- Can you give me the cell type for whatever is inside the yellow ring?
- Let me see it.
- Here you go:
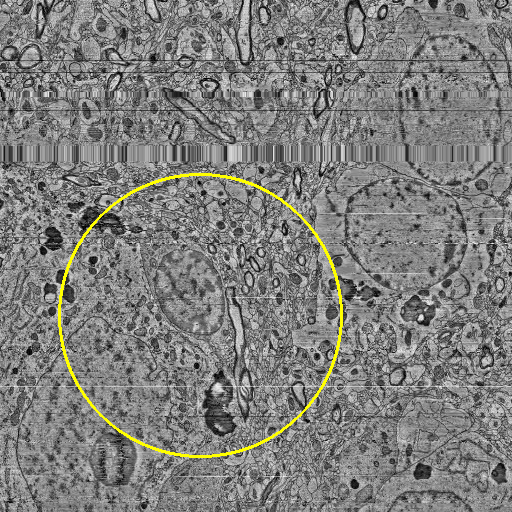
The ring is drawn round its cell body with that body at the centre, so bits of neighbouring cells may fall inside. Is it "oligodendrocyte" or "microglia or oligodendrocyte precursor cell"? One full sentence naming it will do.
The cell body in the middle of the ring in this picture belongs to an oligodendrocyte.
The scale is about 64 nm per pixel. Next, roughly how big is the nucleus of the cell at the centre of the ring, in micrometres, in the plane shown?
The nucleus has a long axis of about 6 micrometres and a short axis of about 4 micrometres in this plane.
